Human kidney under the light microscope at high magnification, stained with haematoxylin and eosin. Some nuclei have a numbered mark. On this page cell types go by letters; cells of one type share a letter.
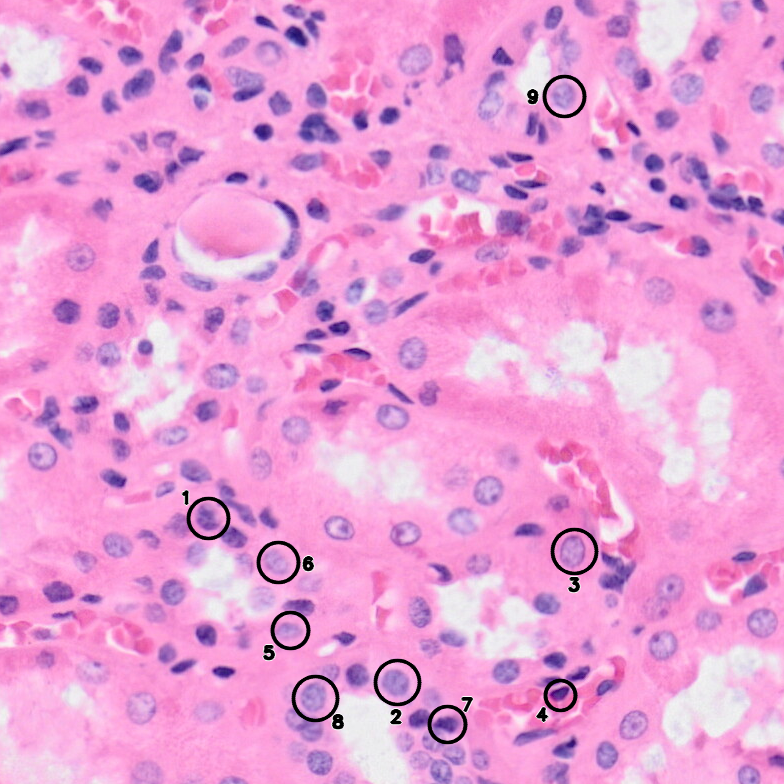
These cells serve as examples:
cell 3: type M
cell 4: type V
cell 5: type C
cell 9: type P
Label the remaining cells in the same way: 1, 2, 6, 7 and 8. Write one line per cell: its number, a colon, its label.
1: type C
2: type P
6: type C
7: type P
8: type P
